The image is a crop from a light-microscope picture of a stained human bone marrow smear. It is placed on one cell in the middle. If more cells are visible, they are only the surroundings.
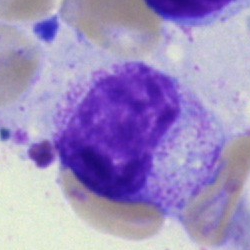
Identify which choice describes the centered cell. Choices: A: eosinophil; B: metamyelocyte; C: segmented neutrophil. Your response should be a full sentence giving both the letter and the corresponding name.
The cell at the centre, correctly named in option B, is a metamyelocyte.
